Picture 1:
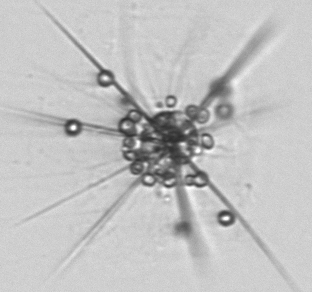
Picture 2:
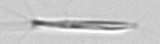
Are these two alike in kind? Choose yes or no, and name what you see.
No. First a radiolarian, second Calciosolenia.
